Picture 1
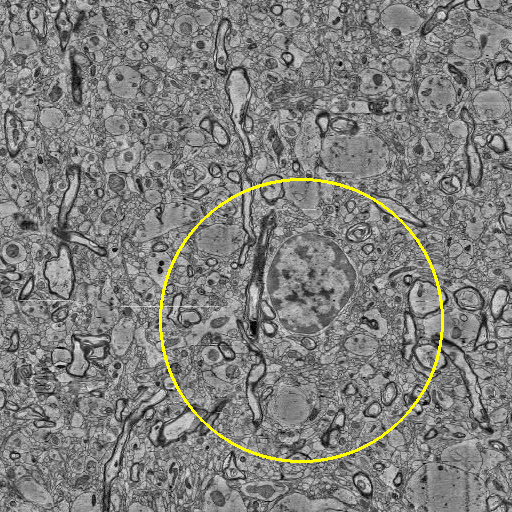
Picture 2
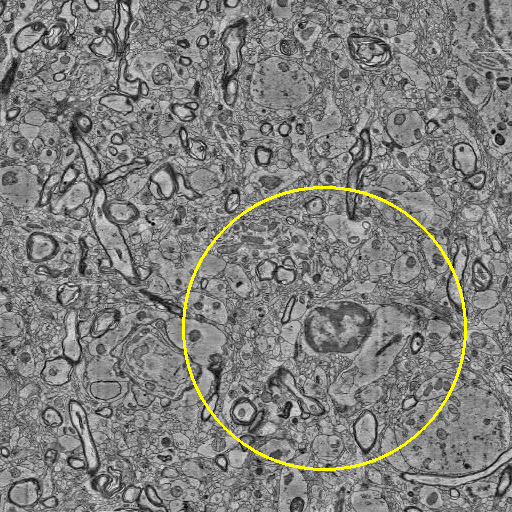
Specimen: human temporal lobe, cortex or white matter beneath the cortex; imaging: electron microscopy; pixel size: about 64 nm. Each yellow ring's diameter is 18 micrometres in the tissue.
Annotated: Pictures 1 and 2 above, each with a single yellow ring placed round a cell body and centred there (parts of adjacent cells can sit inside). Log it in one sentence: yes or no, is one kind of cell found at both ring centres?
Yes, the ring centres of the two pictures hold cells of one kind.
